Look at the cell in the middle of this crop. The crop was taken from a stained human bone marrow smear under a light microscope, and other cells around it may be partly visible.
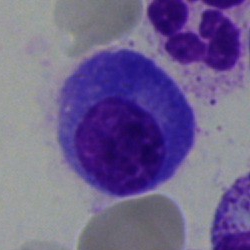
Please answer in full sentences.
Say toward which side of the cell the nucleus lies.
The nucleus is pushed toward the bottom of the cell.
